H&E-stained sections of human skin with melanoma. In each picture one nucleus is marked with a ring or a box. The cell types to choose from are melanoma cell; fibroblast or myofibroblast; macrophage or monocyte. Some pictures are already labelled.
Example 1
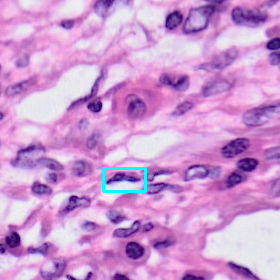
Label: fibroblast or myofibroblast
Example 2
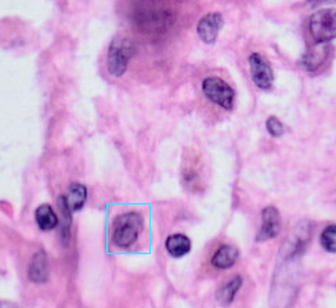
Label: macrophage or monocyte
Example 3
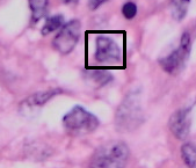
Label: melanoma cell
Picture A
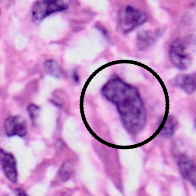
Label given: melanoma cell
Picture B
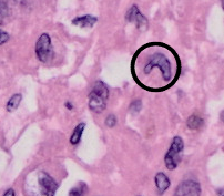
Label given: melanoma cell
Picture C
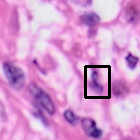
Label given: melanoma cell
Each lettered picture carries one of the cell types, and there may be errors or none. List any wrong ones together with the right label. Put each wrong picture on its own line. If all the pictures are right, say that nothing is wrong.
B: macrophage or monocyte, not melanoma cell
C: fibroblast or myofibroblast, not melanoma cell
